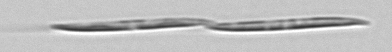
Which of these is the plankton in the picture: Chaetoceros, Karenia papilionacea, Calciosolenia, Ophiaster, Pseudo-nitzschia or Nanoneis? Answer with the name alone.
Pseudo-nitzschia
